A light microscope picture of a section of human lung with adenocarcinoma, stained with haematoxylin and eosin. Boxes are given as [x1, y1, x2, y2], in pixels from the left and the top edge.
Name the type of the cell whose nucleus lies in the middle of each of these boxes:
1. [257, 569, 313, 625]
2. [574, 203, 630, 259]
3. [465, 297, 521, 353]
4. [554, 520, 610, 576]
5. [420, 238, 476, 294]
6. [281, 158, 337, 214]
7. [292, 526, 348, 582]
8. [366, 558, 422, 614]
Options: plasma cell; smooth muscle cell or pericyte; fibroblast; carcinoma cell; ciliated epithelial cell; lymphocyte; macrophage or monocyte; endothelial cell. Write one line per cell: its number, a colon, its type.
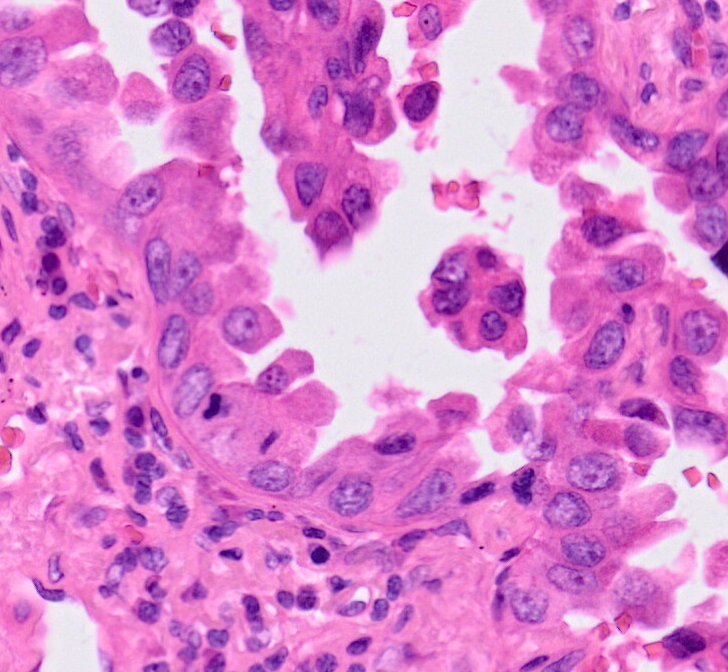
1: lymphocyte
2: carcinoma cell
3: carcinoma cell
4: carcinoma cell
5: carcinoma cell
6: carcinoma cell
7: lymphocyte
8: lymphocyte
